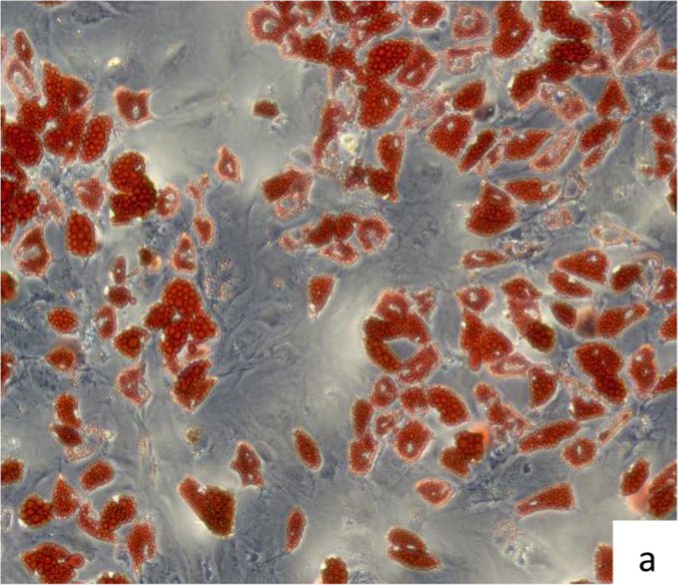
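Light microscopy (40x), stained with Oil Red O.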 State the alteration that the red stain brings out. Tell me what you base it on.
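Many cells are packed with small round red-stained droplets. The droplets fill the cytoplasm of rounded and polygonal cells. Unstained flat spindle-shaped cells lie between the droplet-filled cells. So: Adipogenic differentiation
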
